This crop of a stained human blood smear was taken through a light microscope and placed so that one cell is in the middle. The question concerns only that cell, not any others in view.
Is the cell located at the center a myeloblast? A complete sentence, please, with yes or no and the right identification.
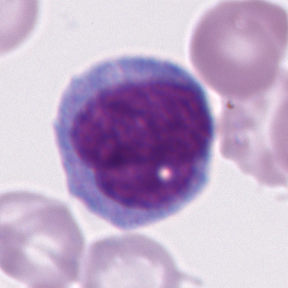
Yes, the cell at the crop's center is a myeloblast.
